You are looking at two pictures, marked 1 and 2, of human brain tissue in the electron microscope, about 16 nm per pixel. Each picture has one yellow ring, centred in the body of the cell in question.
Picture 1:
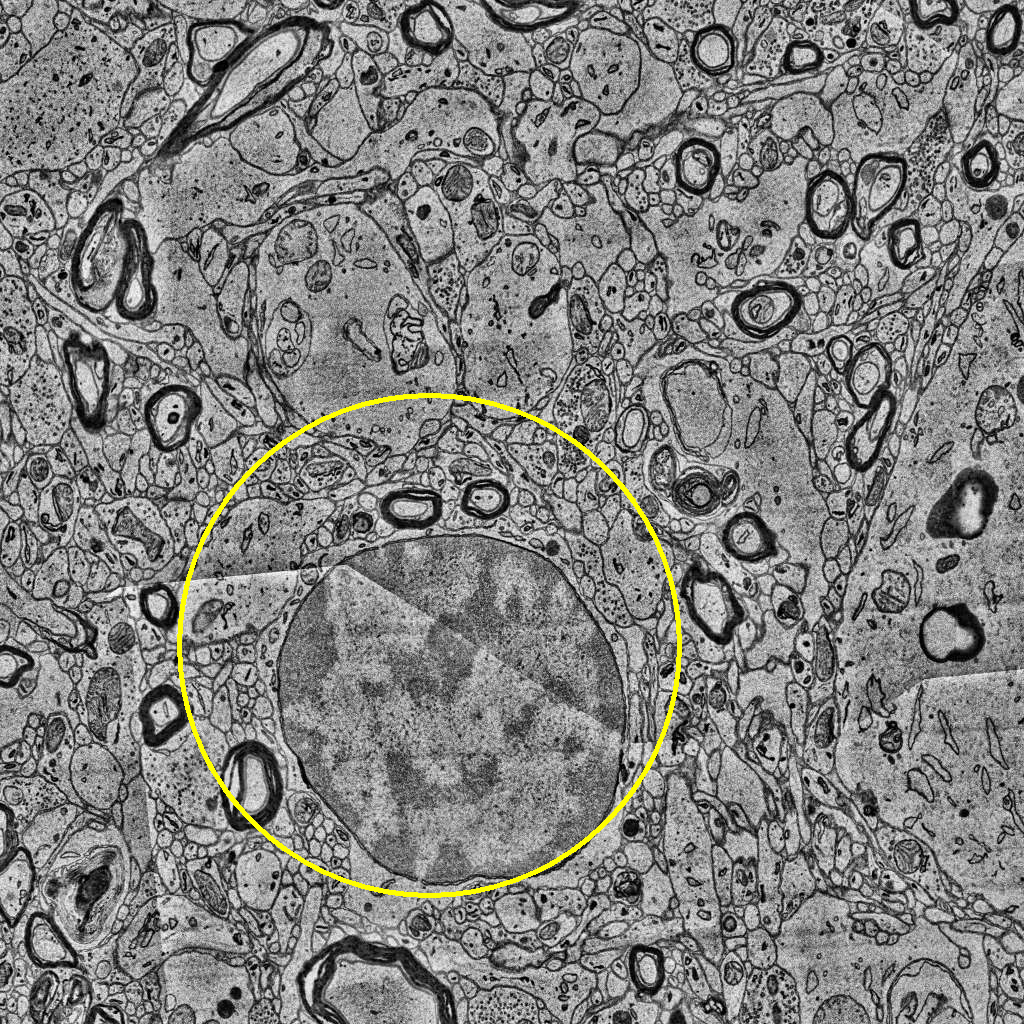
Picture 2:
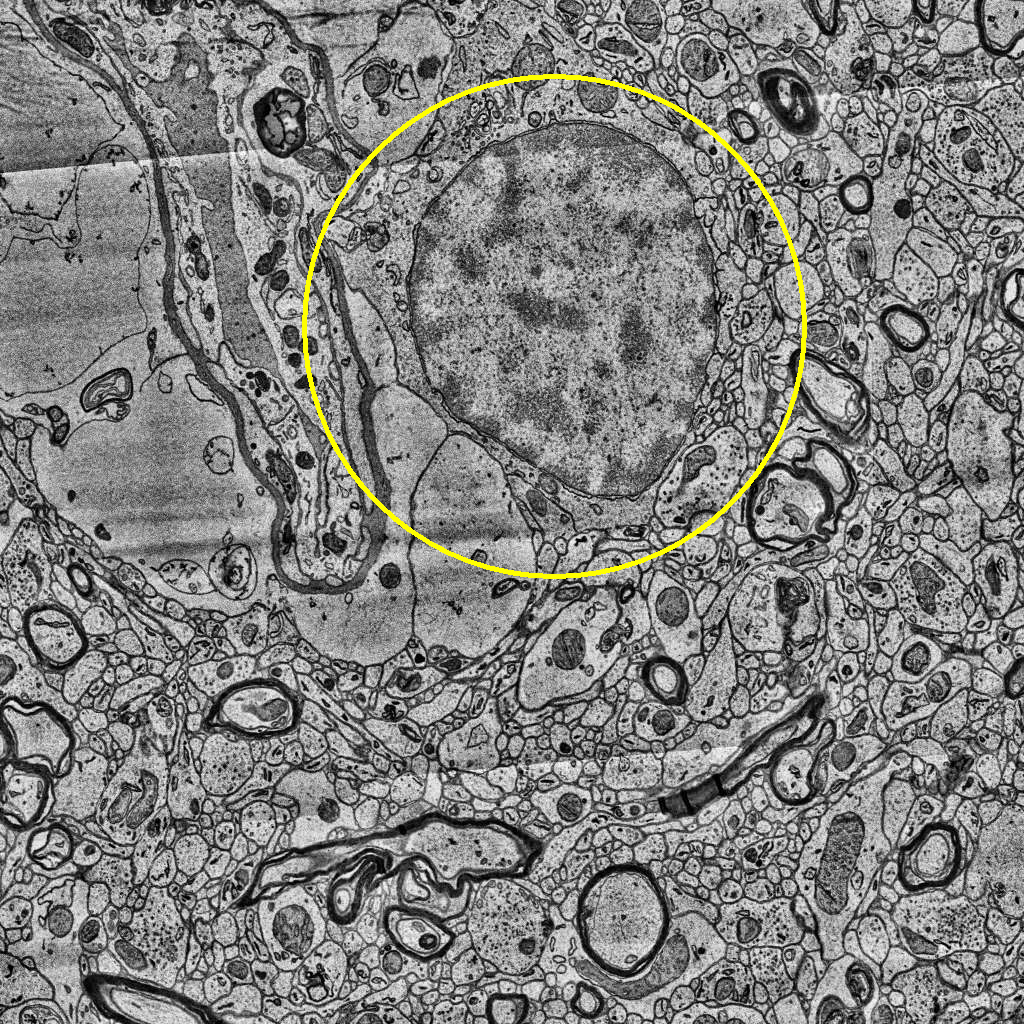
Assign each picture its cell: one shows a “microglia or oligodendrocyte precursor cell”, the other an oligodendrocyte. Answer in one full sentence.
Picture 1 shows a “microglia or oligodendrocyte precursor cell” and picture 2 shows an oligodendrocyte.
